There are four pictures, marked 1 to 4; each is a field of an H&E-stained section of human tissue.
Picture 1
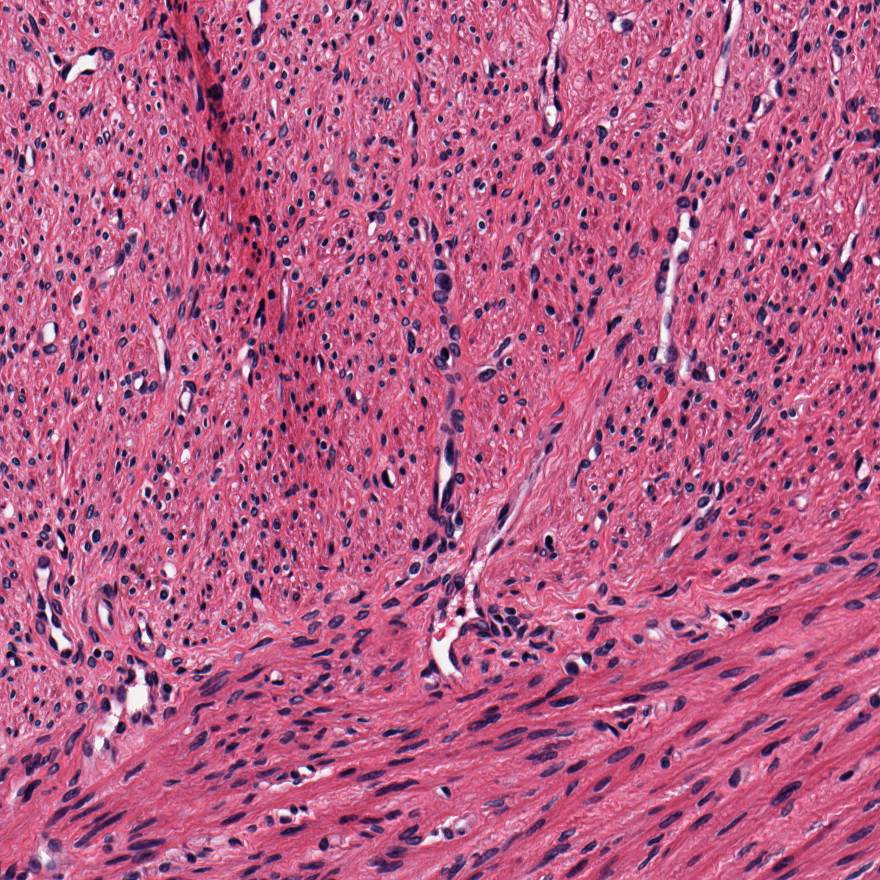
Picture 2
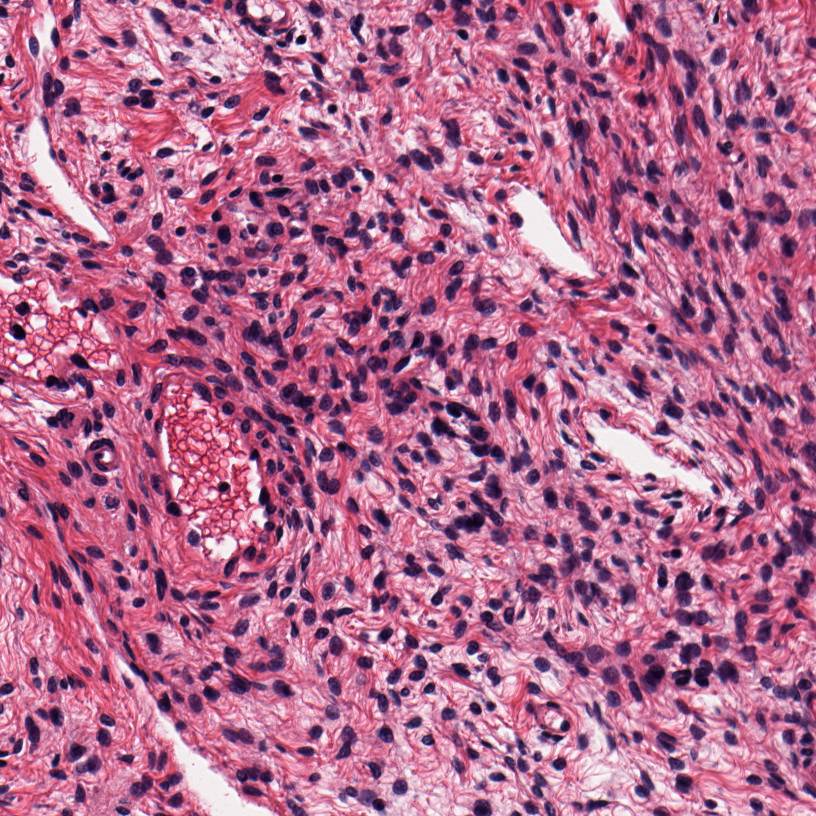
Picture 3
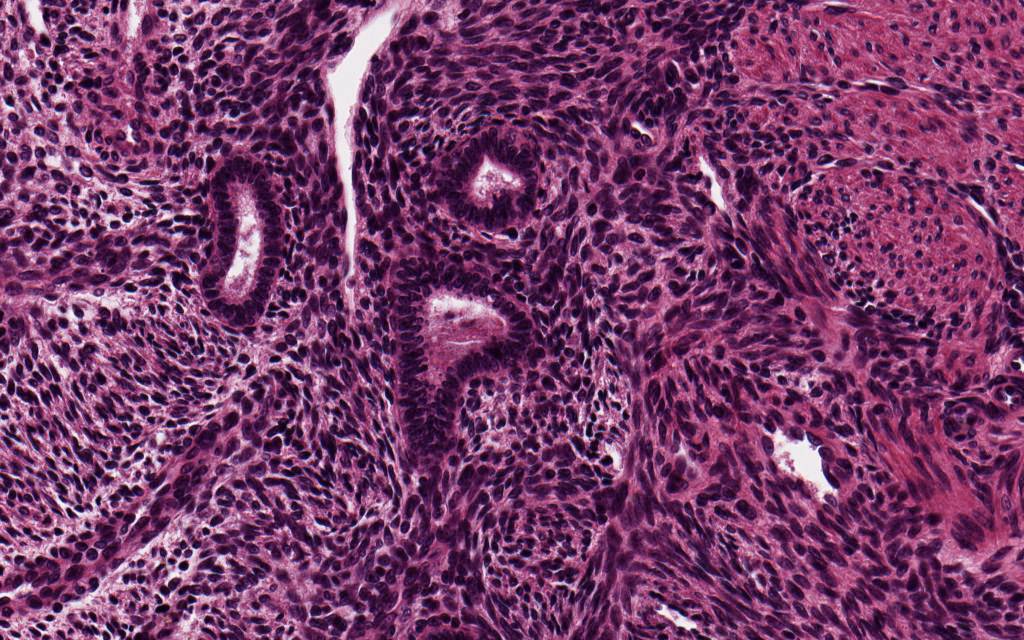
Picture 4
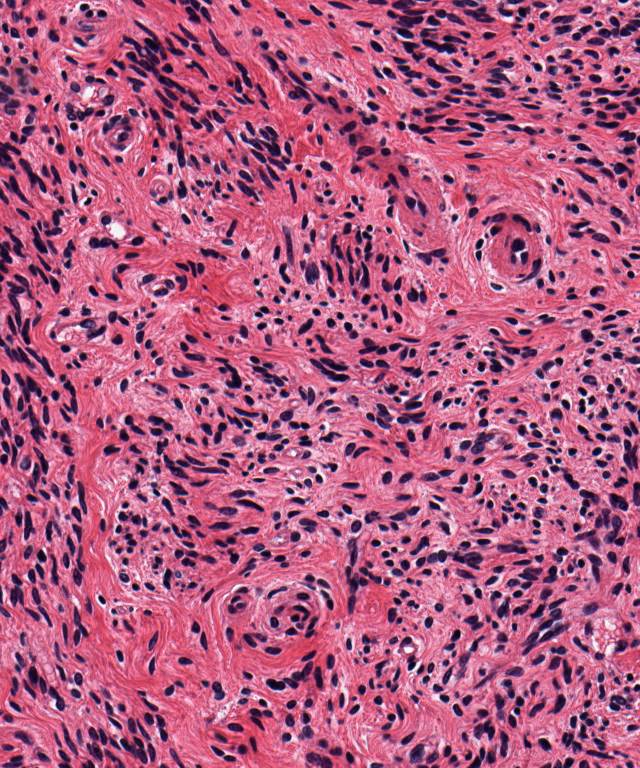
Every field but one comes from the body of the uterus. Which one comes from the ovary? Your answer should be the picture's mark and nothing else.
2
